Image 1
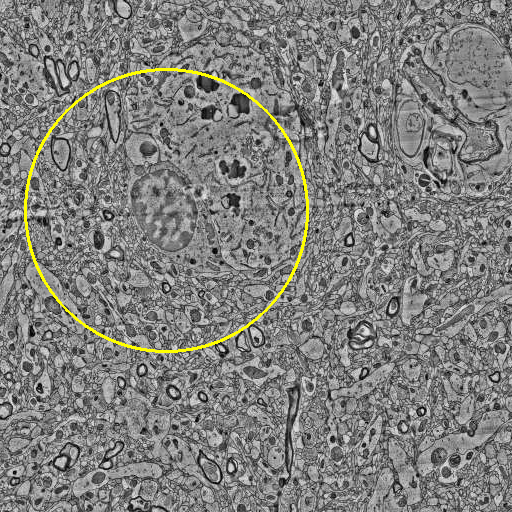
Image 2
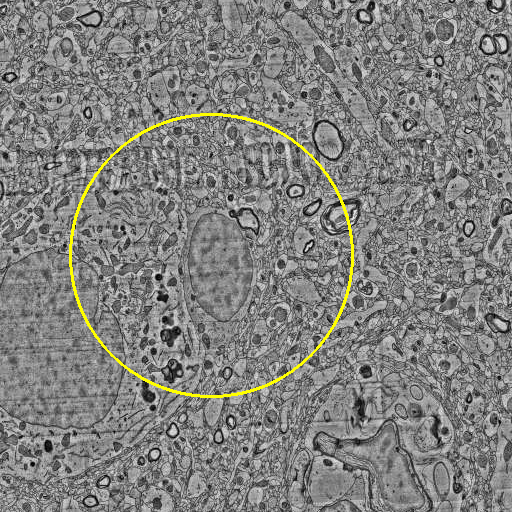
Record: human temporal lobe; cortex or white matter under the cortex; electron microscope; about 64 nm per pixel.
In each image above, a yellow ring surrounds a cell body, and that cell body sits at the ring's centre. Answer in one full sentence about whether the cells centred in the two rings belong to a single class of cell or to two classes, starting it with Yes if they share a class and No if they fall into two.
Yes, the cells centred in the two yellow rings belong to a single class of cell.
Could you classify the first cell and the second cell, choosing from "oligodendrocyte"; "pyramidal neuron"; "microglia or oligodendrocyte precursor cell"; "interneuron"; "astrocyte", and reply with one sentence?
Each of the ringed cells, first and second, is an oligodendrocyte.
